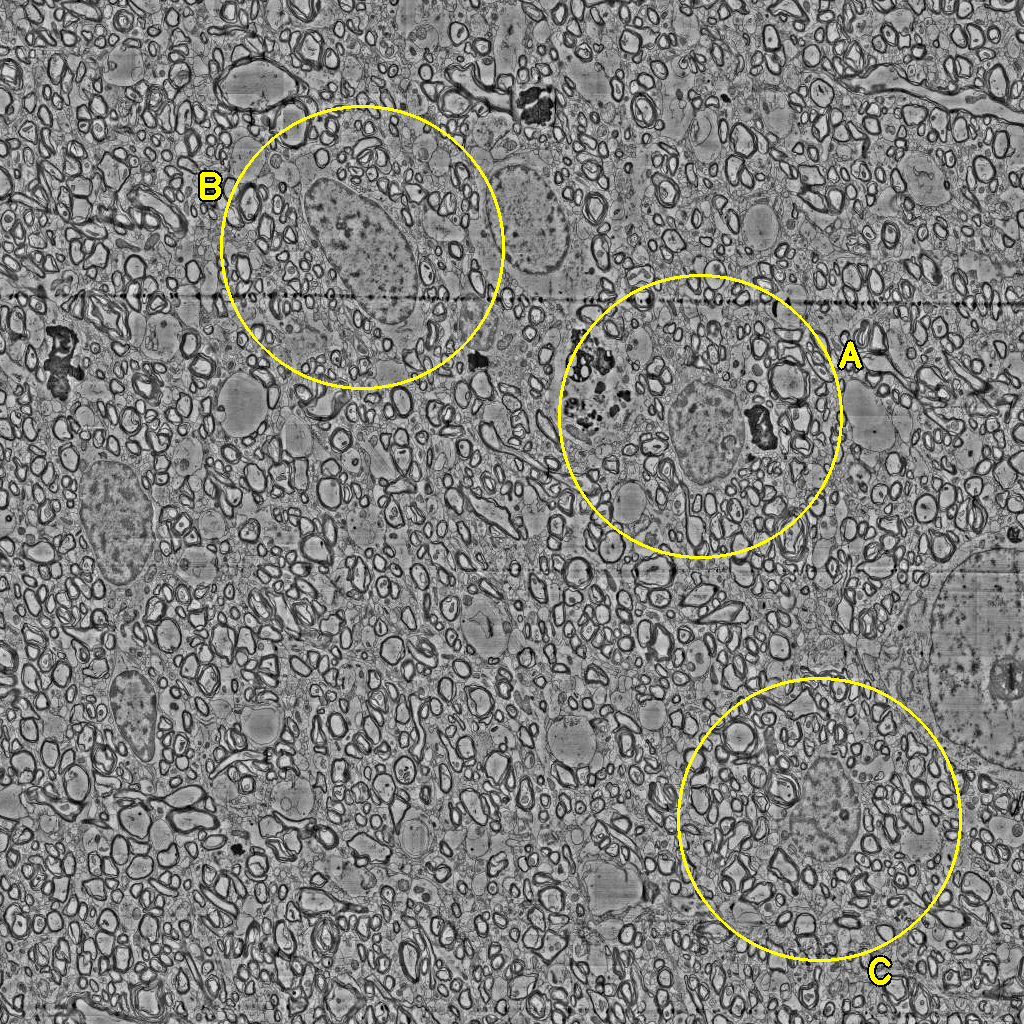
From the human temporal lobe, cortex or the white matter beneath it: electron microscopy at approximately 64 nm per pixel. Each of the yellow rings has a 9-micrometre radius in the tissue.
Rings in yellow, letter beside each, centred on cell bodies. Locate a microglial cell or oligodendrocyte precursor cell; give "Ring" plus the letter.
Ring B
